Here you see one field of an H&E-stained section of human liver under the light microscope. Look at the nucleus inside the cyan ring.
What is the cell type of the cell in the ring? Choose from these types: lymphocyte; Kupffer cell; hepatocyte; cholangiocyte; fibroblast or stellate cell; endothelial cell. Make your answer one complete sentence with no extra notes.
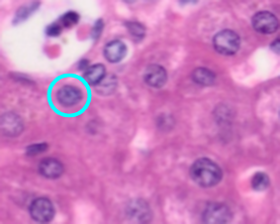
It is a cholangiocyte that the cell in the ring represents.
